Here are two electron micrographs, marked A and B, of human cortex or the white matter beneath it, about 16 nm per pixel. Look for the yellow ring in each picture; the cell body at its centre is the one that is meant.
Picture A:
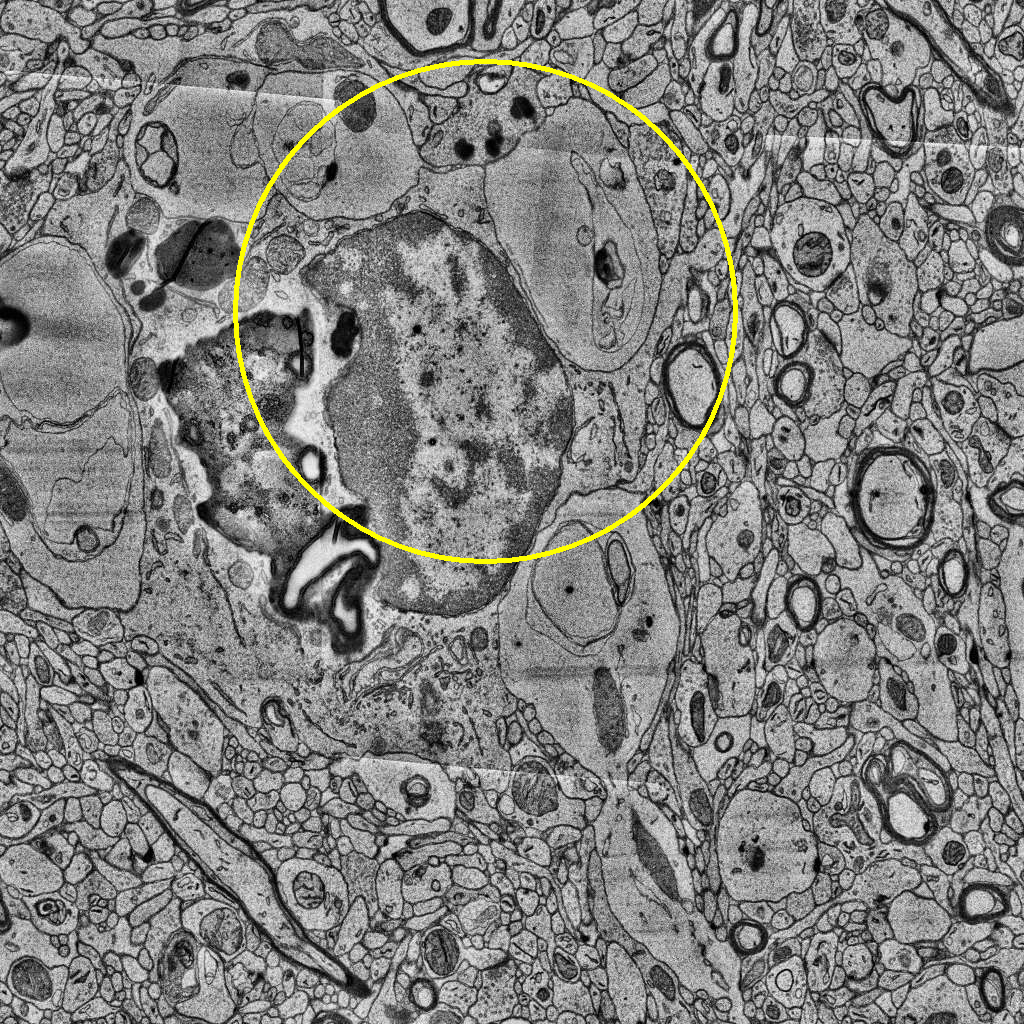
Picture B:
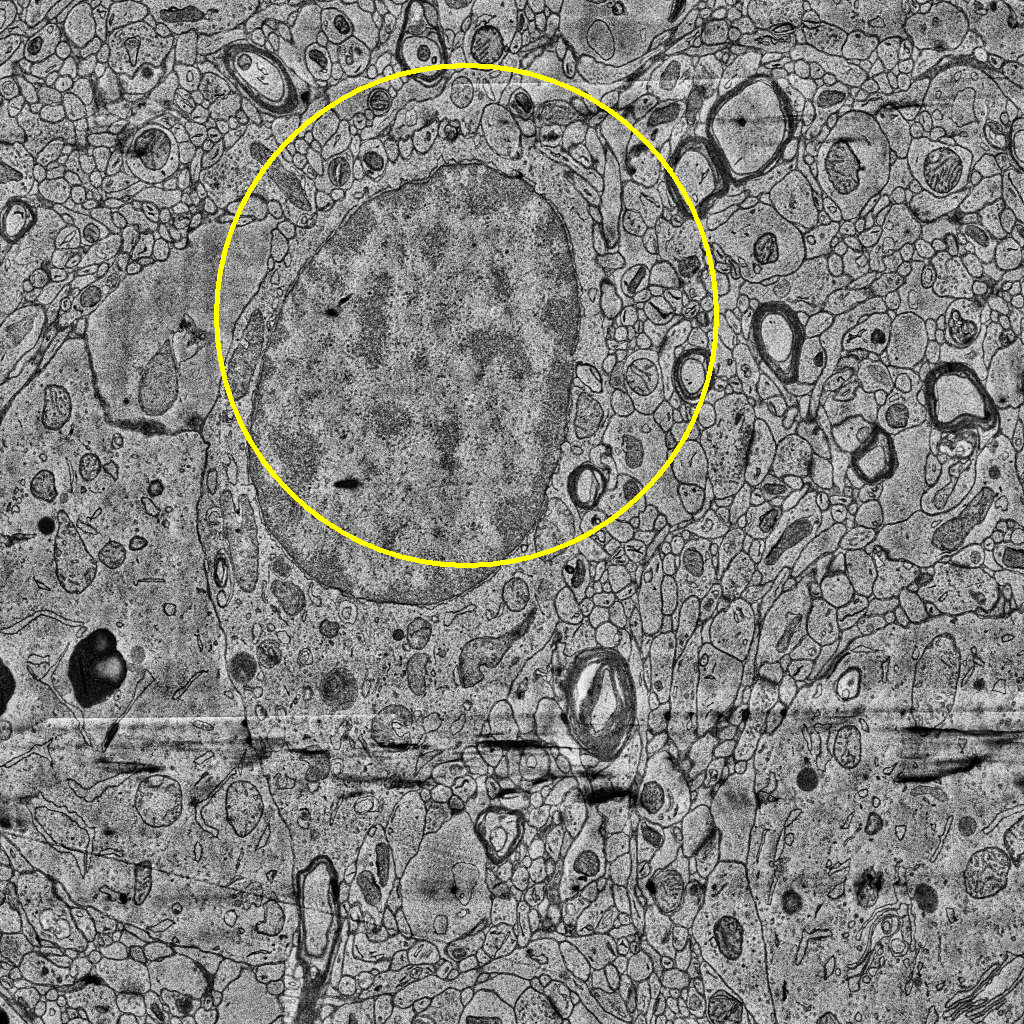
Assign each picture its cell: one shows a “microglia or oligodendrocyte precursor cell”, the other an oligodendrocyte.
The cell in picture A is a “microglia or oligodendrocyte precursor cell”, and the one in picture B is an oligodendrocyte.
